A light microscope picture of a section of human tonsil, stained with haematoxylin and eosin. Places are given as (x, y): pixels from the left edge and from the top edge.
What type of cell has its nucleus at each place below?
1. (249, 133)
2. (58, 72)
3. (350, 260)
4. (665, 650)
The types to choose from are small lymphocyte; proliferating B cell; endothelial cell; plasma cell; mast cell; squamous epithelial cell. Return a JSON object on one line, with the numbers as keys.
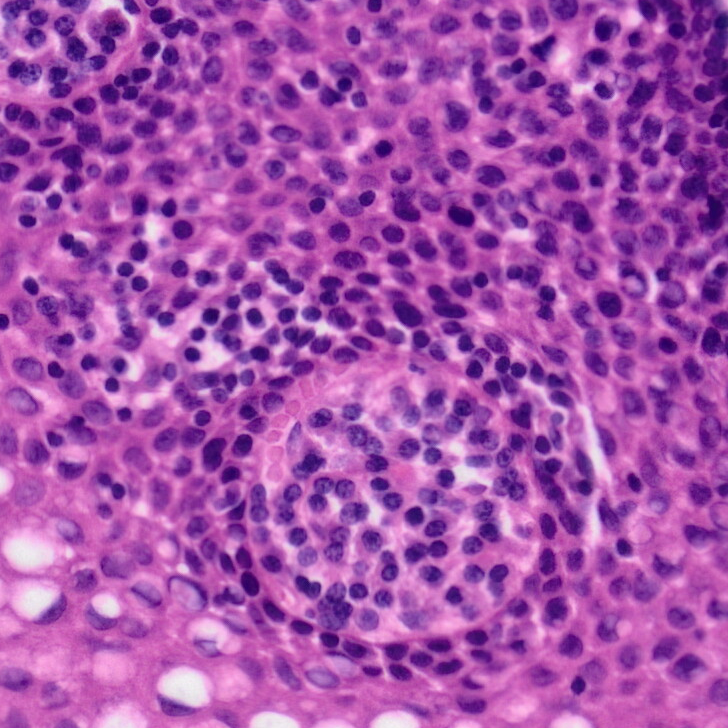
{"1": "squamous epithelial cell", "2": "plasma cell", "3": "squamous epithelial cell", "4": "squamous epithelial cell"}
